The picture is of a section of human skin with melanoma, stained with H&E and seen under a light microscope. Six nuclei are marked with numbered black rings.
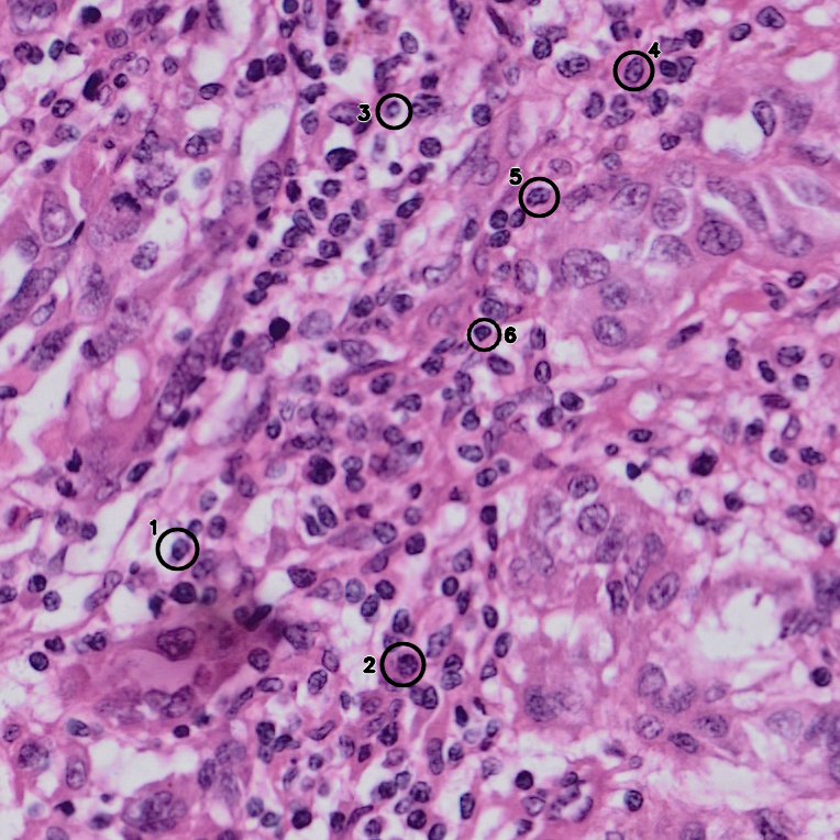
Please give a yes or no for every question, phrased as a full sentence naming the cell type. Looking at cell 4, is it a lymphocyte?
No, what is marked as number 4 is a plasma cell rather than a lymphocyte.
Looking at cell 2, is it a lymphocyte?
No, the cell that carries number 2 is a plasma cell, not a lymphocyte.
